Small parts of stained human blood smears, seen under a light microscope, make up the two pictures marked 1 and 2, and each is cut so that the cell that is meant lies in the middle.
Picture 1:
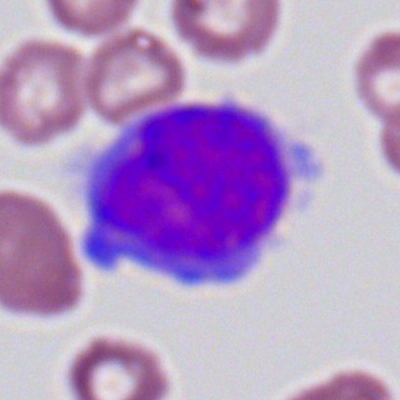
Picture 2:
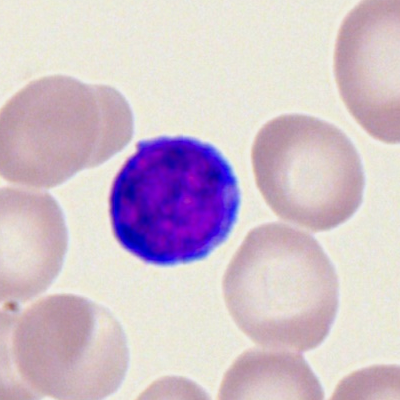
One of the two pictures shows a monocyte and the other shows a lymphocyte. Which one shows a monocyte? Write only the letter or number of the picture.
1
